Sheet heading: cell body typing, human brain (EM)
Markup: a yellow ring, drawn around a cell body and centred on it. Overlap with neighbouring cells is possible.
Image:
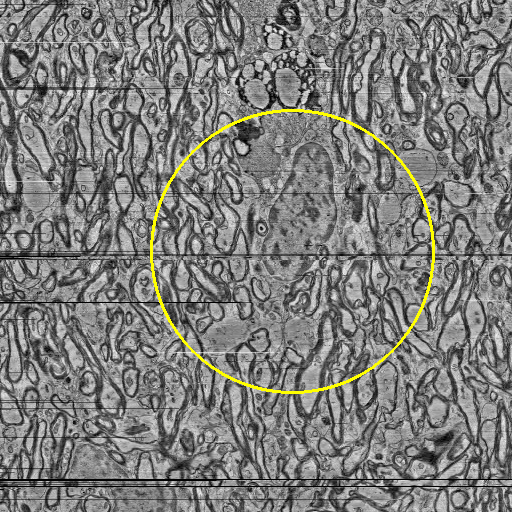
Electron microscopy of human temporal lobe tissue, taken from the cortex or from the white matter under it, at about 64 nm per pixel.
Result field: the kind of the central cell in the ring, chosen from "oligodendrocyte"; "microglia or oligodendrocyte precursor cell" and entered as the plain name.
microglia or oligodendrocyte precursor cell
